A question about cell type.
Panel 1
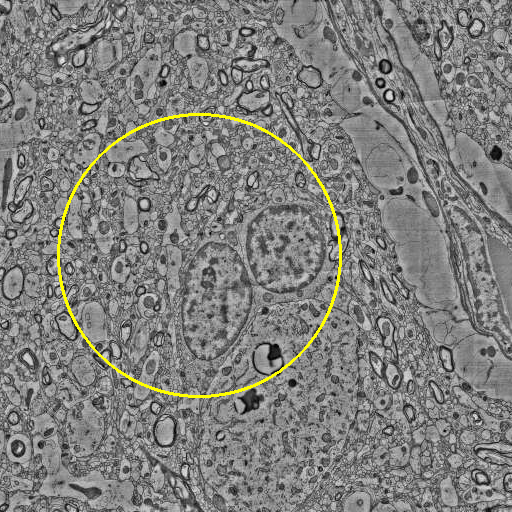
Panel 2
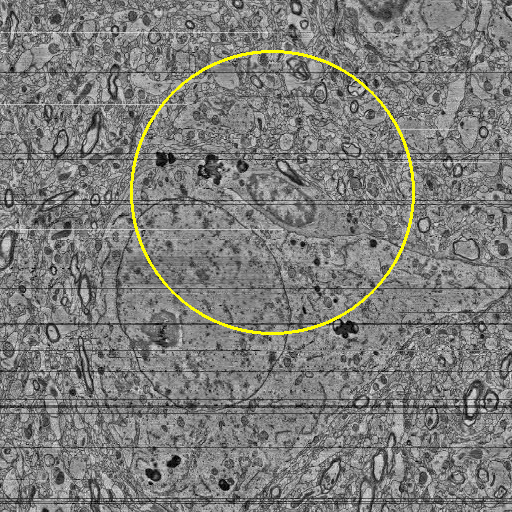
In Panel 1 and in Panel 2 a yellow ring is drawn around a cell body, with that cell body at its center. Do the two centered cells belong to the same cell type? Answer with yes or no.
yes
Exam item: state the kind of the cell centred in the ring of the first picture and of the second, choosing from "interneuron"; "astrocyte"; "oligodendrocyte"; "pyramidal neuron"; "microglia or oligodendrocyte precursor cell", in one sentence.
Each of the two rings surrounds an oligodendrocyte.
